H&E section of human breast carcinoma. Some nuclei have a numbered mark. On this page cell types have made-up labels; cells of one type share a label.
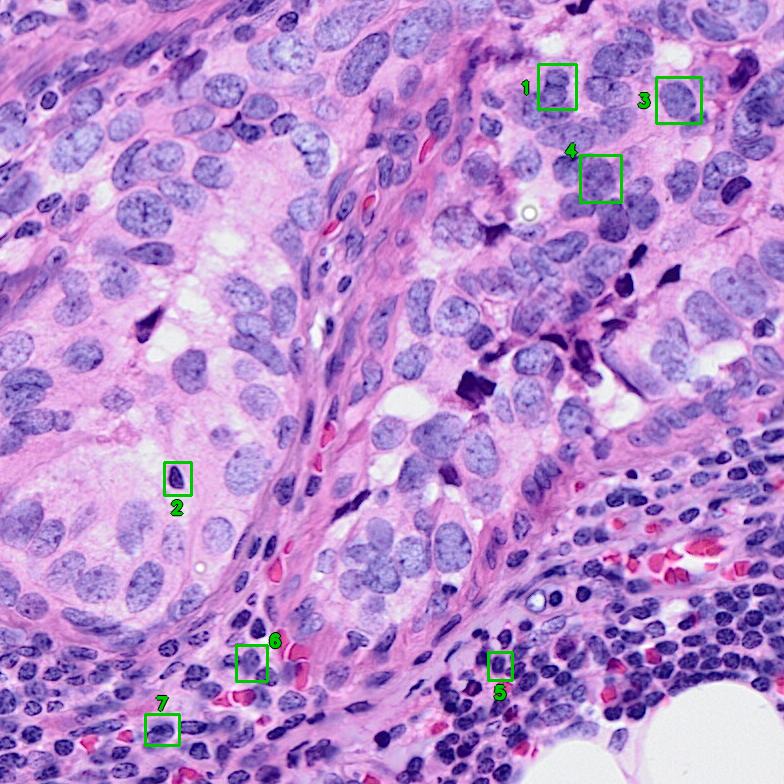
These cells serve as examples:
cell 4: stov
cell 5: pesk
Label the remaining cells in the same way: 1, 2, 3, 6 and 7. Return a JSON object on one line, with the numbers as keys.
{"1": "stov", "2": "pesk", "3": "stov", "6": "pesk", "7": "pesk"}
